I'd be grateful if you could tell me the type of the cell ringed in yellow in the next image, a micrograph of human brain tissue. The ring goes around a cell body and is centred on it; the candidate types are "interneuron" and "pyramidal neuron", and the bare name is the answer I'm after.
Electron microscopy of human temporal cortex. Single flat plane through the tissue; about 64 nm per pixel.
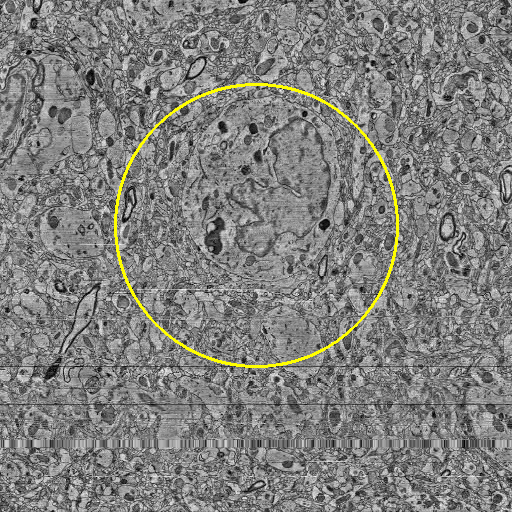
interneuron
